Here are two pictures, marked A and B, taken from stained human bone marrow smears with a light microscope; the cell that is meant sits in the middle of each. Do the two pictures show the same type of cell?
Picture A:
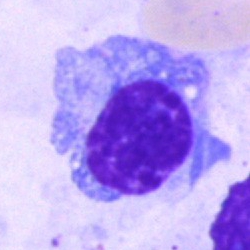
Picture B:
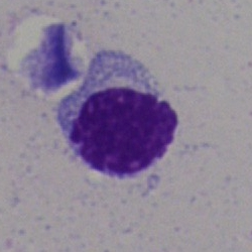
no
